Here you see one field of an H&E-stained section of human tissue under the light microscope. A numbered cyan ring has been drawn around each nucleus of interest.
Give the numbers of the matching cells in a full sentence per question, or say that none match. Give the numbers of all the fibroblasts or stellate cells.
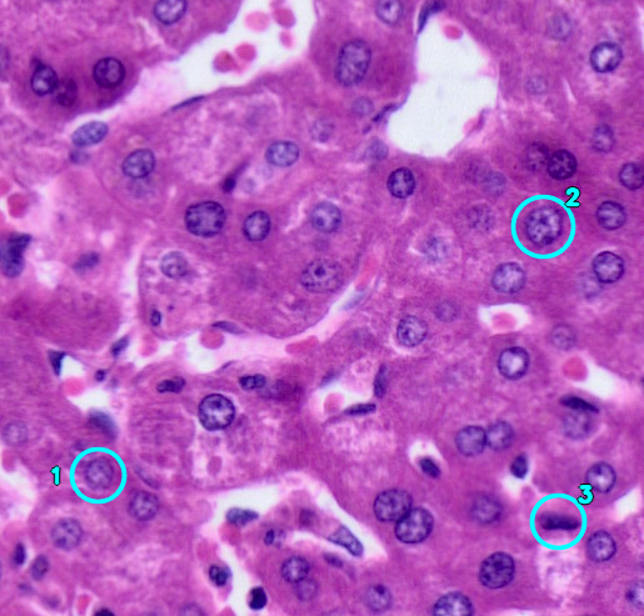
Of all the numbered cells, only one is a fibroblast or stellate cell, and that is cell 3.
